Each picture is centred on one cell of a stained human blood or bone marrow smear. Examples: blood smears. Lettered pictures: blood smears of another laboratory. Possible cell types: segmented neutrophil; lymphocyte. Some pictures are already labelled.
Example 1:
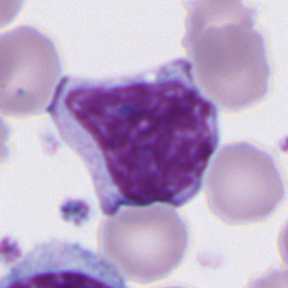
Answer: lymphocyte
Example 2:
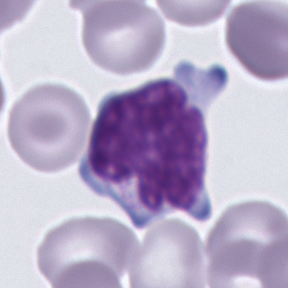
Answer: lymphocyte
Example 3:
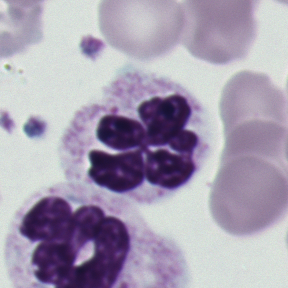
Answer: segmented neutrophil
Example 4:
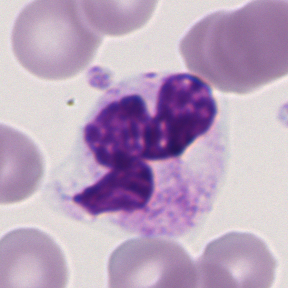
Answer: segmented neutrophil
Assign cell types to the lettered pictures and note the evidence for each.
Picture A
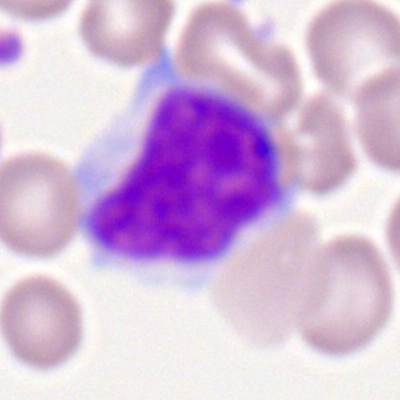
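lymphocyte. Reason: The nucleus fills most of the cell.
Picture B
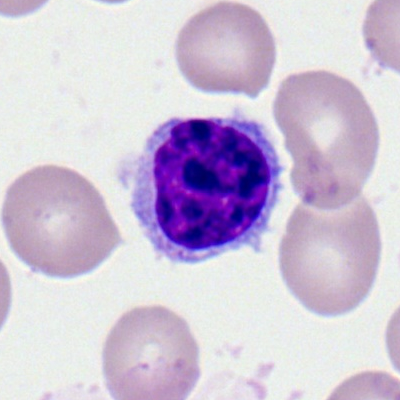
lymphocyte. Reason: The cytoplasm forms a narrow rim that is widest on the left side.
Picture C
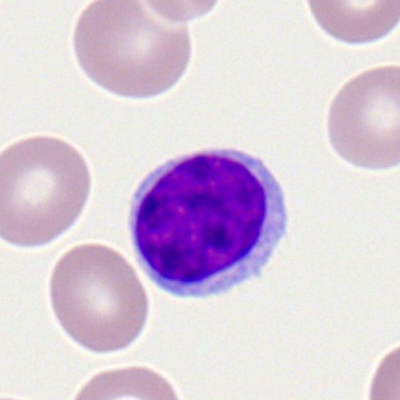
lymphocyte. Reason: The nucleus fills most of the cell.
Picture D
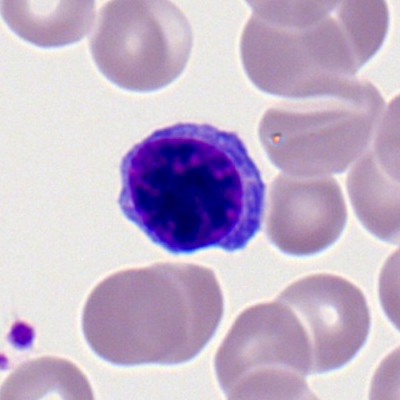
lymphocyte. Reason: The nucleus fills most of the cell.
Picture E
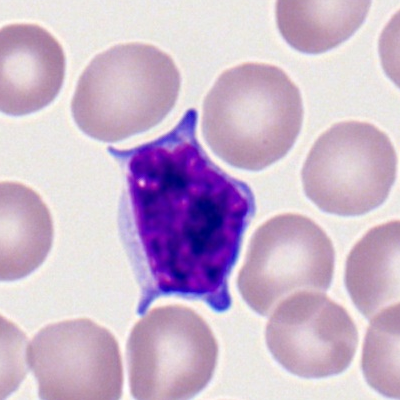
lymphocyte. Reason: The nucleus is a single unlobed mass that fills most of the cell.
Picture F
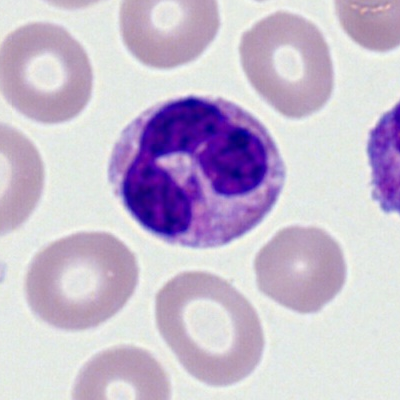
segmented neutrophil. Reason: The nucleus is folded into lobes that curve around a pale central patch of cytoplasm.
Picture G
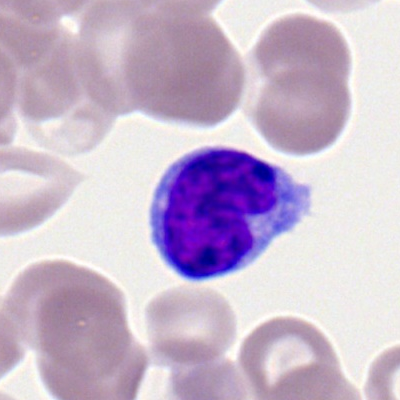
lymphocyte. Reason: The nucleus fills most of the cell.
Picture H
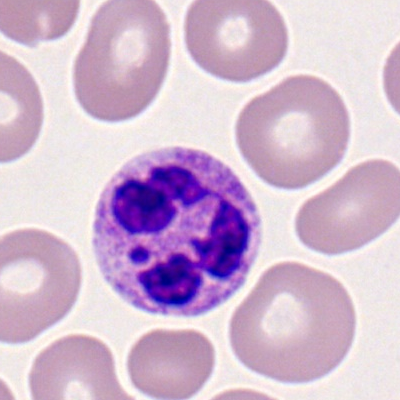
segmented neutrophil. Reason: The cytoplasm is plentiful and pale pinkish-lilac.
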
